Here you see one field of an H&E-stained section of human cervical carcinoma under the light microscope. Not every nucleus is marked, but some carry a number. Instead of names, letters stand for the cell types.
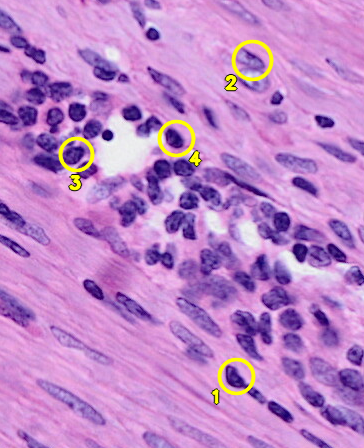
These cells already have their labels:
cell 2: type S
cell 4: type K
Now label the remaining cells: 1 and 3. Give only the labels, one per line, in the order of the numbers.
type K
type K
